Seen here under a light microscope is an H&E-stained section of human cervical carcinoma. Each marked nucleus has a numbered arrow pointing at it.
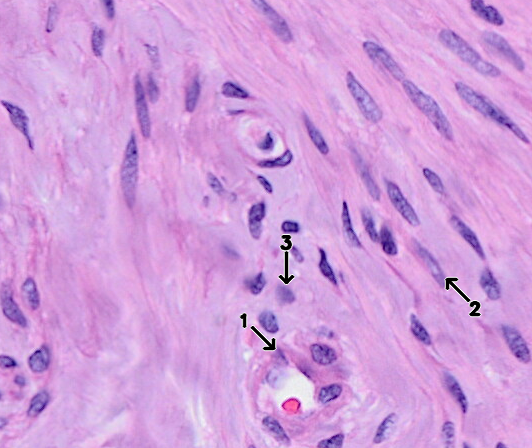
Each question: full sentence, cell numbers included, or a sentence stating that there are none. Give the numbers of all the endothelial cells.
Cell 1 is the only one of the numbered cells that is an endothelial cell.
